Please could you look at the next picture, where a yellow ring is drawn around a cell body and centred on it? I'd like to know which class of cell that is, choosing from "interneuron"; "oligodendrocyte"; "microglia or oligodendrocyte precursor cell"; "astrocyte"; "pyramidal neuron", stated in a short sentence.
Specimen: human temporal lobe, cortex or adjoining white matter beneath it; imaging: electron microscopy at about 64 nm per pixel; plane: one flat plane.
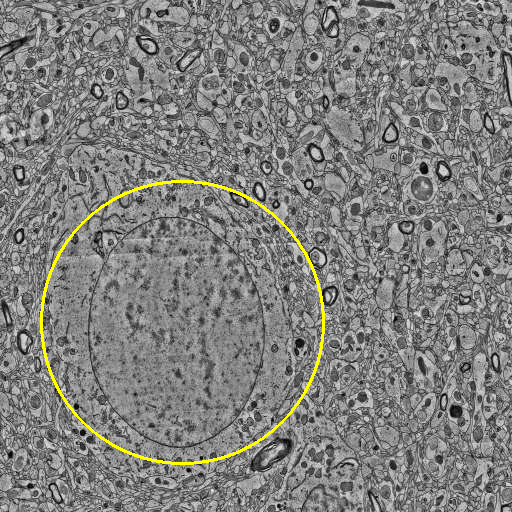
The ring's centre lies on a pyramidal neuron.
